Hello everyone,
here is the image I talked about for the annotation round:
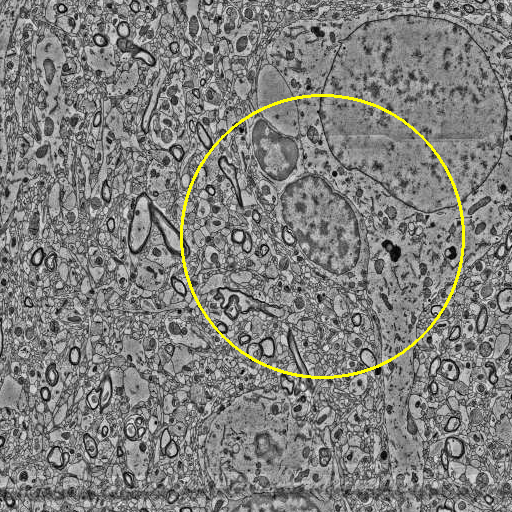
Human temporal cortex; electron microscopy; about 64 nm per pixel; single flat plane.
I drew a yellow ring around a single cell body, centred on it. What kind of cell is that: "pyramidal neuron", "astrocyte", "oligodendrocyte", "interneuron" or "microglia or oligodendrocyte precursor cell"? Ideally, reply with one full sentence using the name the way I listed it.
The cell your yellow ring is centred on is an oligodendrocyte, going by your list.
